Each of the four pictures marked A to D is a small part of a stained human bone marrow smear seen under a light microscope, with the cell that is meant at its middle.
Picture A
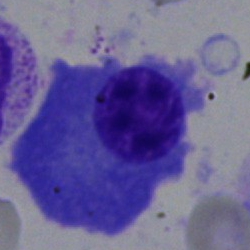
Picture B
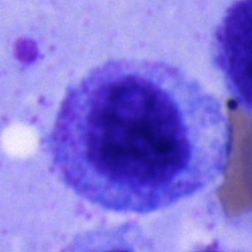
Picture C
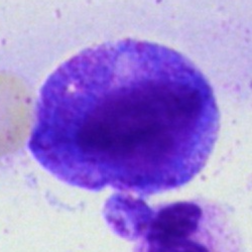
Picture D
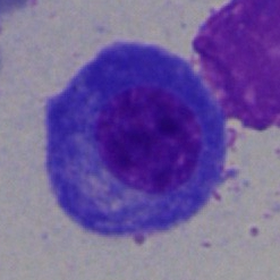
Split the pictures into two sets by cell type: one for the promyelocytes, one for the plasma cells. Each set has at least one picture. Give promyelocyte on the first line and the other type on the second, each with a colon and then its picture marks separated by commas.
promyelocyte: B, C
plasma cell: A, D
